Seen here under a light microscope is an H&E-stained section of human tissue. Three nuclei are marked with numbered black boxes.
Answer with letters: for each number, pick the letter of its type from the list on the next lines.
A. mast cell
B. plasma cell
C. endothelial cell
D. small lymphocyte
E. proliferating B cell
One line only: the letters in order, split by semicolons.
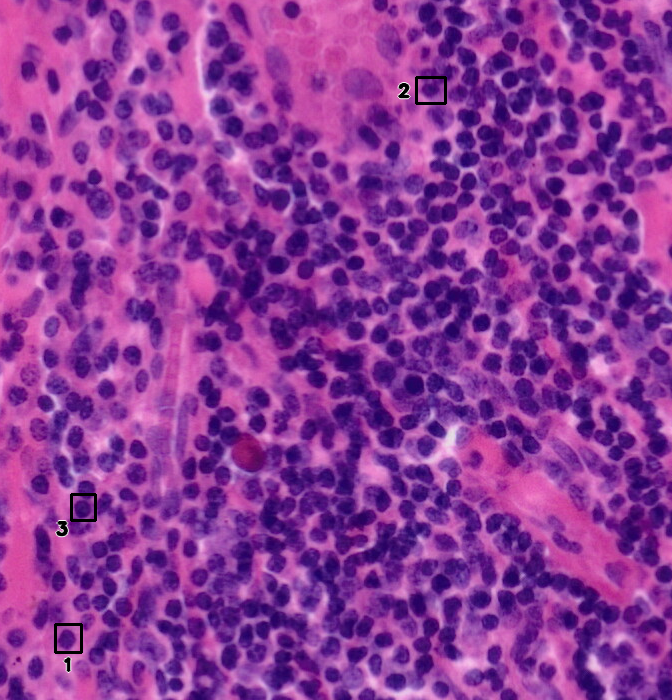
B; C; B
